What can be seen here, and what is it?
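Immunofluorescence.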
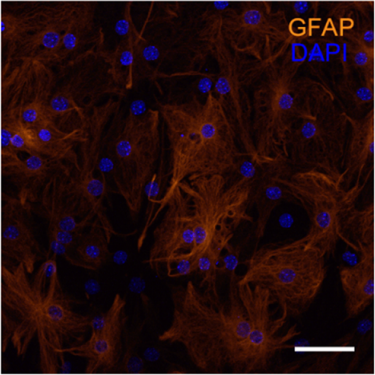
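These are cultured astrocytes forming a dense, overlapping layer. Their cytoplasm is broad and flat and is filled with fine orange filaments that run in bundles and radiate across the cell. Round to oval blue nuclei lie scattered among the filament networks, some in small groups. The cells' outlines are irregular, and neighbouring cells touch and overlap so that the orange network covers most of the field.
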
